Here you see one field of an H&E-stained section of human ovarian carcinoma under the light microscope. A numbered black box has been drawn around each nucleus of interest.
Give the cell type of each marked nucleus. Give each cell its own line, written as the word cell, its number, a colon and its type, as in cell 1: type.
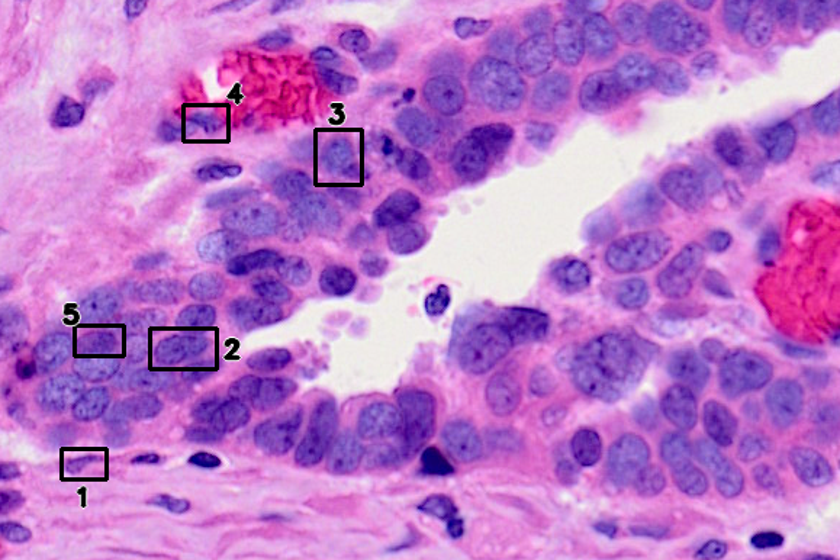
cell 1: fibroblast
cell 2: carcinoma cell
cell 3: carcinoma cell
cell 4: endothelial cell
cell 5: carcinoma cell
